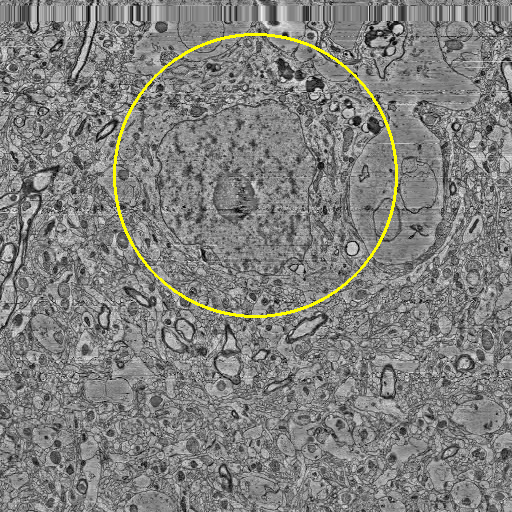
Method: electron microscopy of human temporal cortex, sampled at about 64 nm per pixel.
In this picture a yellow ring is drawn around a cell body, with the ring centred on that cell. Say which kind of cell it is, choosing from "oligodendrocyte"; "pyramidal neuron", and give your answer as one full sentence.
Here it is a pyramidal neuron that sits at the centre of the drawn yellow ring.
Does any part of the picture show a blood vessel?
Yes, one appears.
